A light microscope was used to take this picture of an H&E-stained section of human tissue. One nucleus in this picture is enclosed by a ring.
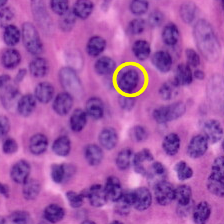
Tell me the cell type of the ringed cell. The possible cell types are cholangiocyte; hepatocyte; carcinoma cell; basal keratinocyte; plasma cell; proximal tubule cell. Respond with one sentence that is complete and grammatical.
In the stained section, the ringed cell is a plasma cell.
